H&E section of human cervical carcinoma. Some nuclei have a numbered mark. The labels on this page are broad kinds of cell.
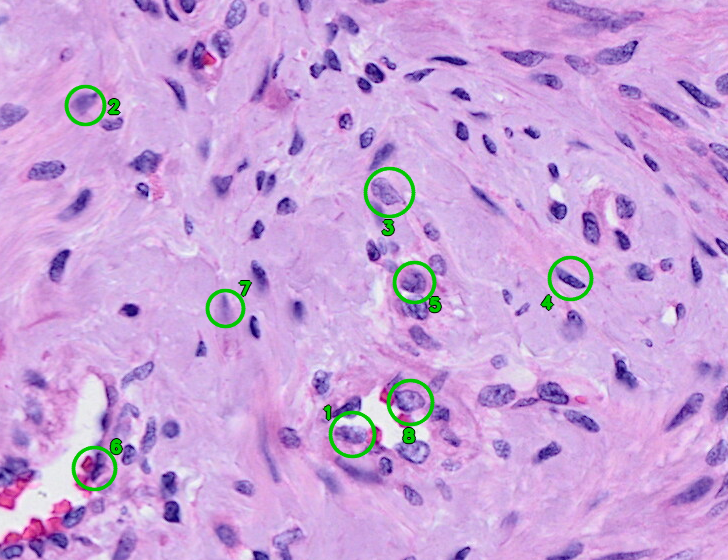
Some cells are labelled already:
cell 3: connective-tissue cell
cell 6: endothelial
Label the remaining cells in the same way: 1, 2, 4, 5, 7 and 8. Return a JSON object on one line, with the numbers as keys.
{"1": "endothelial", "2": "connective-tissue cell", "4": "connective-tissue cell", "5": "endothelial", "7": "connective-tissue cell", "8": "endothelial"}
